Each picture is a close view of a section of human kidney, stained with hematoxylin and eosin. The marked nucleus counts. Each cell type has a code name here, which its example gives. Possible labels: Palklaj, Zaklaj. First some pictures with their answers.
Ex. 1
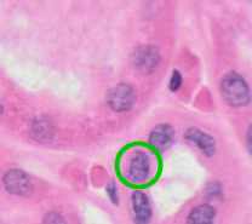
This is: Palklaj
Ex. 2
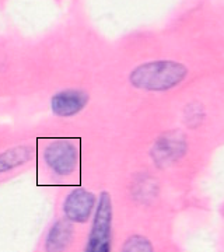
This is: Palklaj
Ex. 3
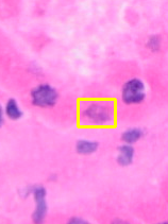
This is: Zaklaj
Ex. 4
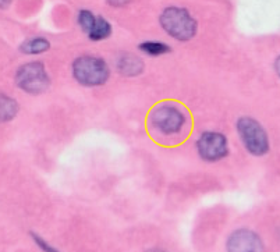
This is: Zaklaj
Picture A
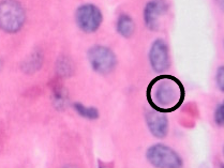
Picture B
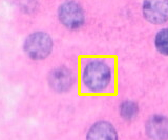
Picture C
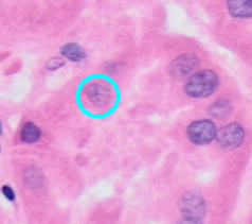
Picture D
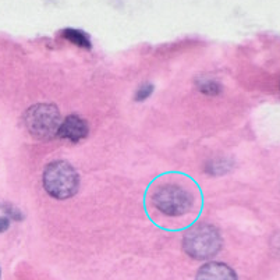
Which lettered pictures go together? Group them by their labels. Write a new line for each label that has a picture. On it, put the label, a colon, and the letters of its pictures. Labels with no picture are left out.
Palklaj: A
Zaklaj: B, C, D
